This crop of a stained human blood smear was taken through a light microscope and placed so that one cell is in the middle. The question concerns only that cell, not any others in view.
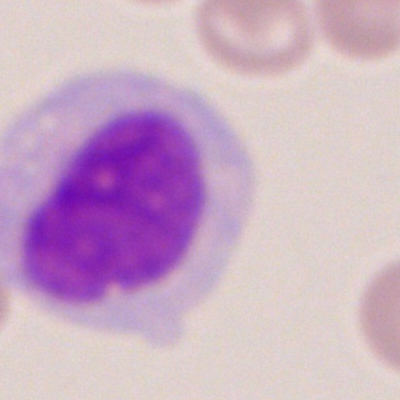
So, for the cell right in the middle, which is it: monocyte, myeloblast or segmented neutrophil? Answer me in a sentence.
The middle of this crop is occupied by a monocyte.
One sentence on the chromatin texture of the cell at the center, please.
No coarse chromatin clumps are present; the pattern is fine.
